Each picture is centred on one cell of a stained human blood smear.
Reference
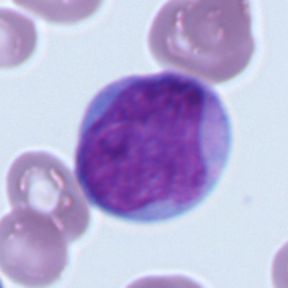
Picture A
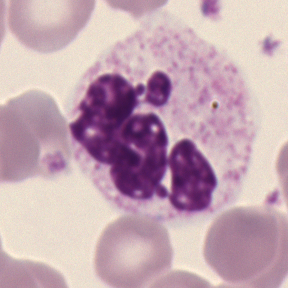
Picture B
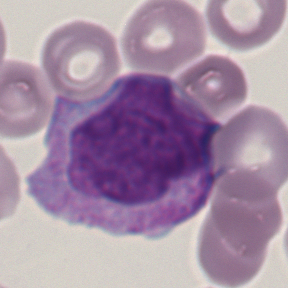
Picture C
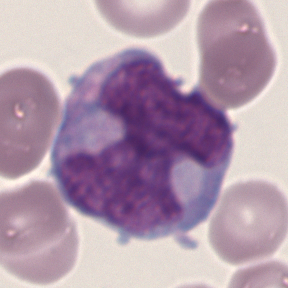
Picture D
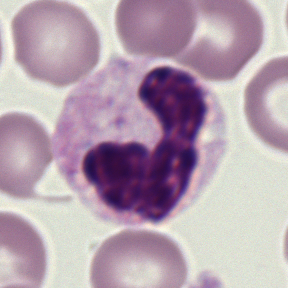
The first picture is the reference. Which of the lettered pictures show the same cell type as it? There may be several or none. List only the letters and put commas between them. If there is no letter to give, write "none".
B, C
